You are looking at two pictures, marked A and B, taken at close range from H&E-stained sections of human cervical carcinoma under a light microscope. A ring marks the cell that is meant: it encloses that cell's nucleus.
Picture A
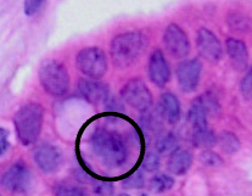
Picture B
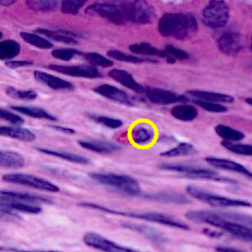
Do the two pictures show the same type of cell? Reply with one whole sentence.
No. Picture A shows a secretory epithelial cell, but picture B shows an endothelial cell.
